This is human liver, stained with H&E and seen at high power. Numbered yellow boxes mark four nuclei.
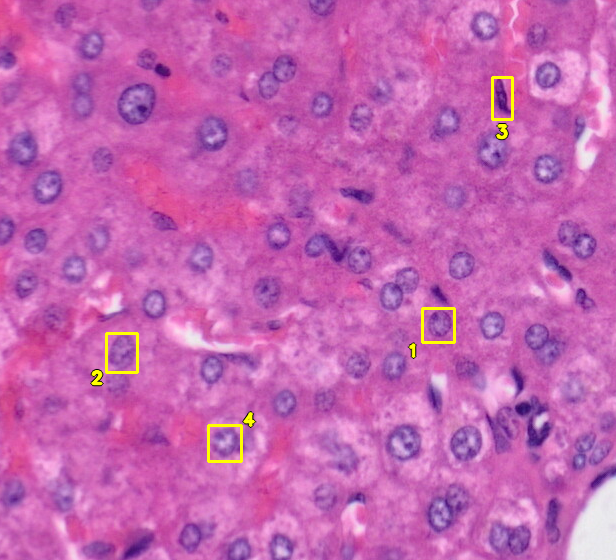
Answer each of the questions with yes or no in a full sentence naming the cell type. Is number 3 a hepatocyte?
No, for cell 3, the correct identification is an endothelial cell instead of a hepatocyte.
